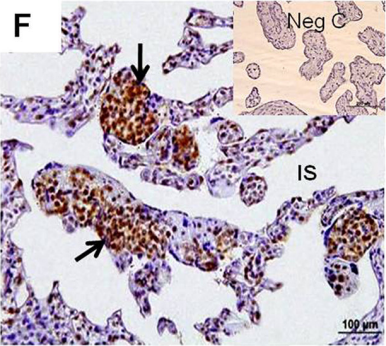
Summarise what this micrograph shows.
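Thin branching villous tissue of the placenta is cut across, with open spaces between the fragments. Within the villi lie compact, rounded clusters of tightly packed cells whose nuclei are stained brown, while most other nuclei in the thin villous walls are blue.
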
